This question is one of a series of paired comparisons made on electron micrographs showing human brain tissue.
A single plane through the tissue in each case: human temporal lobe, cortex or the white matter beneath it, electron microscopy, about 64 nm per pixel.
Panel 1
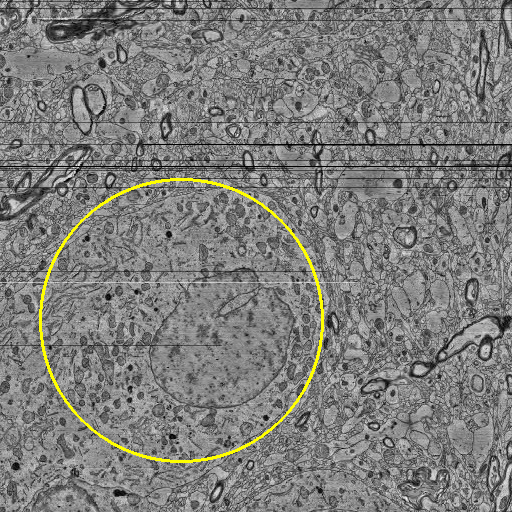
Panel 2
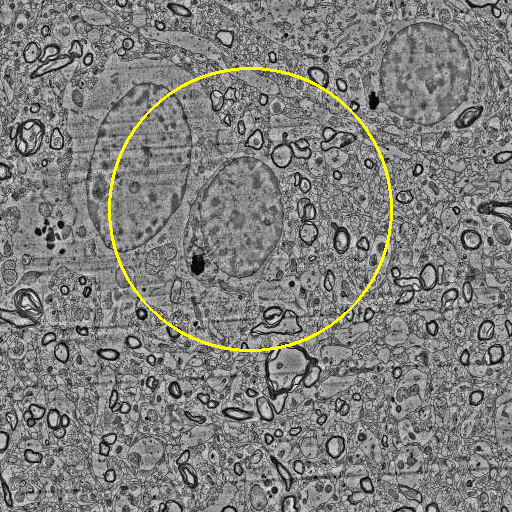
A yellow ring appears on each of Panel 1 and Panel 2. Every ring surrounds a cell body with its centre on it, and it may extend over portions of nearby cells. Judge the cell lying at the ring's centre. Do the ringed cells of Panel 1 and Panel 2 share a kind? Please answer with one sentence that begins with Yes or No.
No, the ring-centre cell in Panel 1 and the one in Panel 2 are of two kinds.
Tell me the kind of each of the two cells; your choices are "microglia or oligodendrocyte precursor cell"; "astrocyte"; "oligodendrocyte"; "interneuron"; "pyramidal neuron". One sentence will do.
The ringed cell is an interneuron in the first picture and an oligodendrocyte in the second picture.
